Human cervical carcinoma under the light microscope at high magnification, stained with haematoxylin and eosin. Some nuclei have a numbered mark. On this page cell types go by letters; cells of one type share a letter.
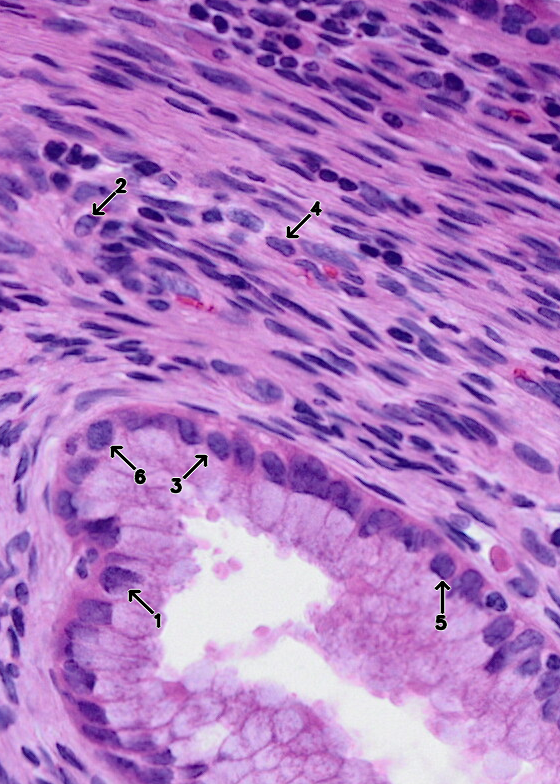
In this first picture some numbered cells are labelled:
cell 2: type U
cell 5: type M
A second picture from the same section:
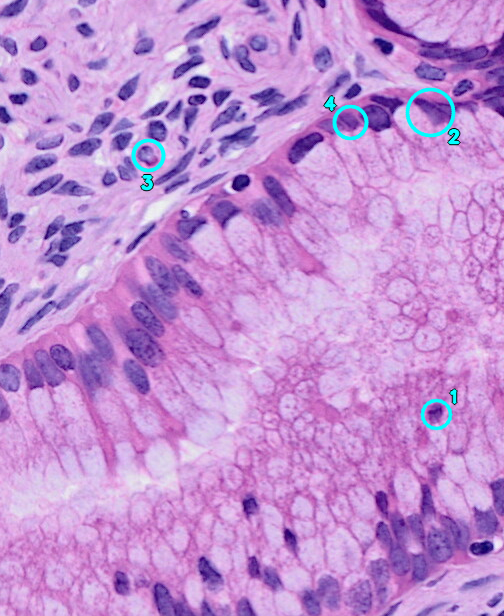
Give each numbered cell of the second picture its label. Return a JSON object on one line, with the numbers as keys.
{"1": "type M", "2": "type M", "3": "type U", "4": "type M"}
